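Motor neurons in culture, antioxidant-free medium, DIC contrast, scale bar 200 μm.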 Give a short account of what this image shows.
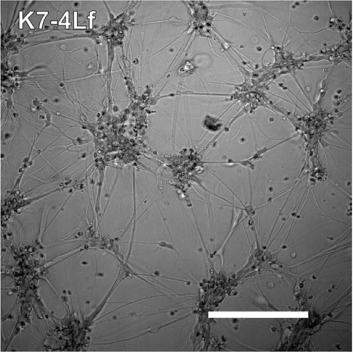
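Cell bodies gather in rounded clusters of varying size scattered over the dish. Long, smooth processes leave the clusters, many of them running in bundles, and join neighbouring clusters into a branching network. Between the clusters lie small, isolated round bodies. The background is flat and grey, with no other cell layer visible.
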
